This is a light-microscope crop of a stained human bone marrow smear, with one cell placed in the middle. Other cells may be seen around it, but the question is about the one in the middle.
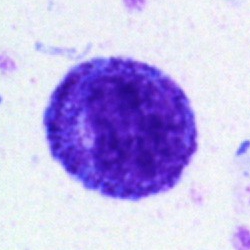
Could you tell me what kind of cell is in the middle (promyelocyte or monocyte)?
promyelocyte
